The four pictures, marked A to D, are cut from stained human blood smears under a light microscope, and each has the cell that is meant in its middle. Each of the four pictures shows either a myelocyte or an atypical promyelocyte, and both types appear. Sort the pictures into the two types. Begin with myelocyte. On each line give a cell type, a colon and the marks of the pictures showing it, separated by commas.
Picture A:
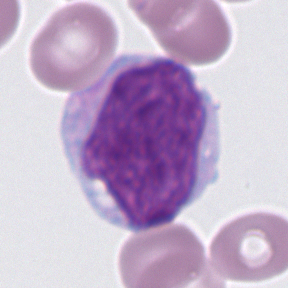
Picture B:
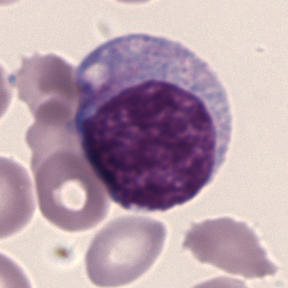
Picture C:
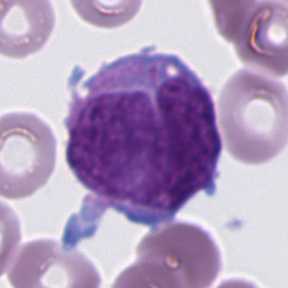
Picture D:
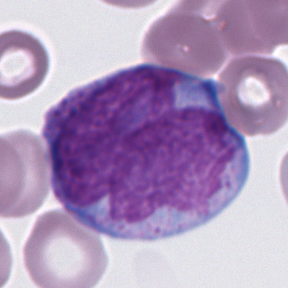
myelocyte: B
atypical promyelocyte: A, C, D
